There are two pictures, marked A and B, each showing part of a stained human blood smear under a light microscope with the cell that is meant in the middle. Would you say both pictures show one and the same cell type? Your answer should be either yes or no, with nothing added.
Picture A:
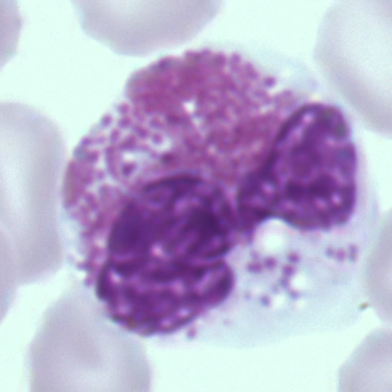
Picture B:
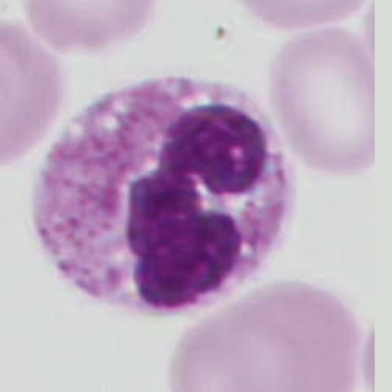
yes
